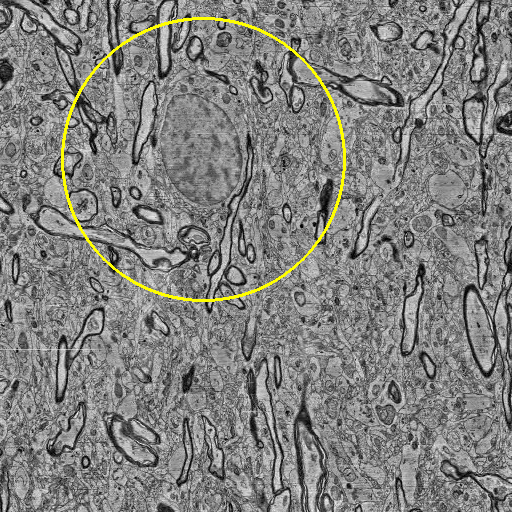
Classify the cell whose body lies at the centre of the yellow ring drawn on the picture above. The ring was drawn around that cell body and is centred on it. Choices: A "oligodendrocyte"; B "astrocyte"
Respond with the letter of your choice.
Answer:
A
